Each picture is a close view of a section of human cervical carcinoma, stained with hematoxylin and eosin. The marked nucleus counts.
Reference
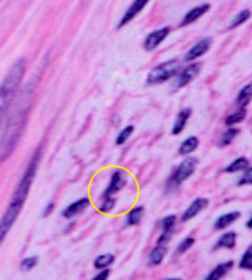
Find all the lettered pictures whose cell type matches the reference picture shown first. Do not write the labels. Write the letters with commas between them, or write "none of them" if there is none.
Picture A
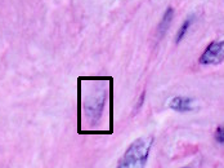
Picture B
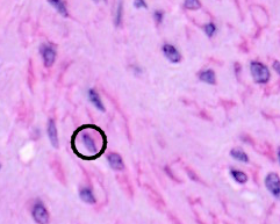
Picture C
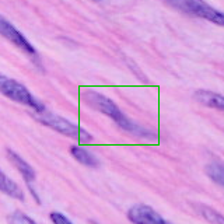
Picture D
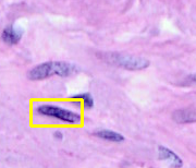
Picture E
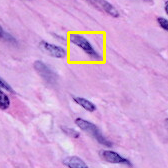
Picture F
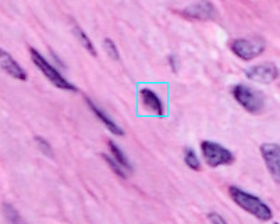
A, B, C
